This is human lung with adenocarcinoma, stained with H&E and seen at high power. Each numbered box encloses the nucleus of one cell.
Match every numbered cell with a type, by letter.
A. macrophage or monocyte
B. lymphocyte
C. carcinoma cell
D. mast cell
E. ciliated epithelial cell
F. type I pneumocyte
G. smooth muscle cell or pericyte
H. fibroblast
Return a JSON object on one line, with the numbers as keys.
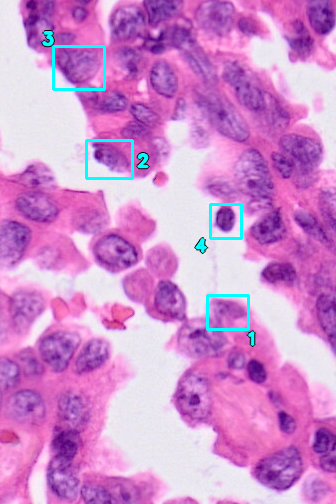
{"1": "C", "2": "C", "3": "C", "4": "B"}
